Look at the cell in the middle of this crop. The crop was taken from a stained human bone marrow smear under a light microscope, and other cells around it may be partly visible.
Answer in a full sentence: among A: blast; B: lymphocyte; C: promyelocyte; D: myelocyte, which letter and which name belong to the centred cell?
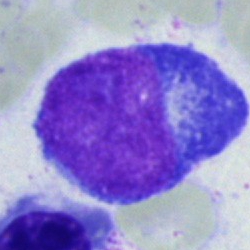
That the central cell is a blast makes option A correct.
